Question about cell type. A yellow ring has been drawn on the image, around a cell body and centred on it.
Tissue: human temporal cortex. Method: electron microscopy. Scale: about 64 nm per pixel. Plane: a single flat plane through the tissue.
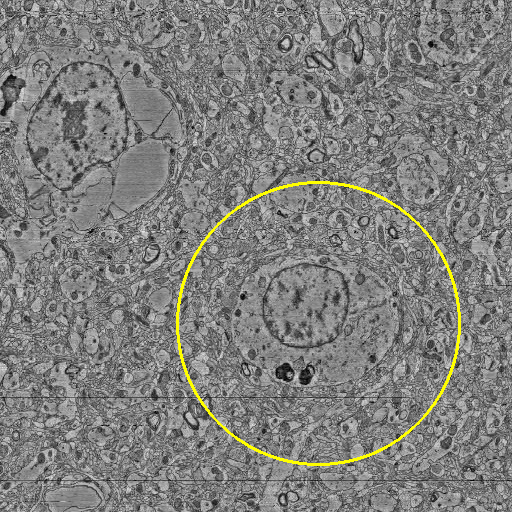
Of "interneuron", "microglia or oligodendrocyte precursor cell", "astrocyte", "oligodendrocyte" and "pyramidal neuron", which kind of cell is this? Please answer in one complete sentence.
At the centre of the ring lies a pyramidal neuron.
